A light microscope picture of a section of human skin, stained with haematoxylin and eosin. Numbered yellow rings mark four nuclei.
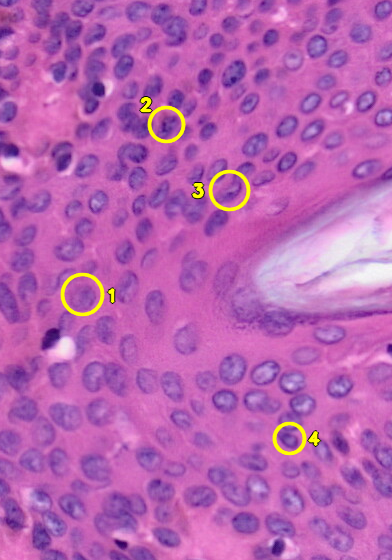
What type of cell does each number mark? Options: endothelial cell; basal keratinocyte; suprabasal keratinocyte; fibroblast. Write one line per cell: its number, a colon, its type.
1: suprabasal keratinocyte
2: basal keratinocyte
3: suprabasal keratinocyte
4: suprabasal keratinocyte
